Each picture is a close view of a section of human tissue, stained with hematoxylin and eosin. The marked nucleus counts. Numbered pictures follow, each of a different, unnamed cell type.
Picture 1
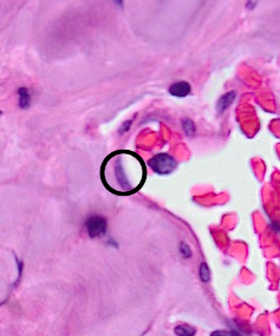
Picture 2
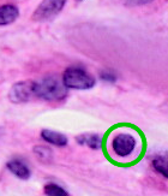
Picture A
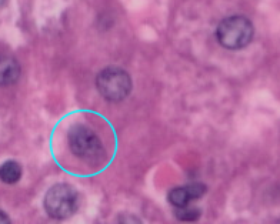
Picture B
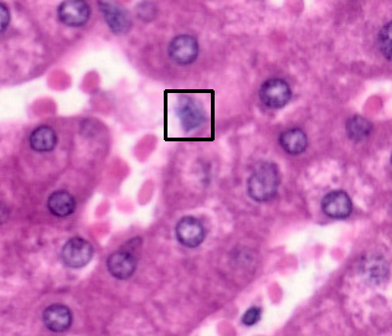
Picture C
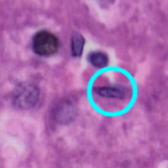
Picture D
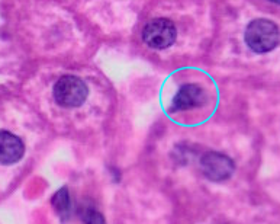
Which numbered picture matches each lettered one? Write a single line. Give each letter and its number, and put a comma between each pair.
A 1, B 1, C 1, D 1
